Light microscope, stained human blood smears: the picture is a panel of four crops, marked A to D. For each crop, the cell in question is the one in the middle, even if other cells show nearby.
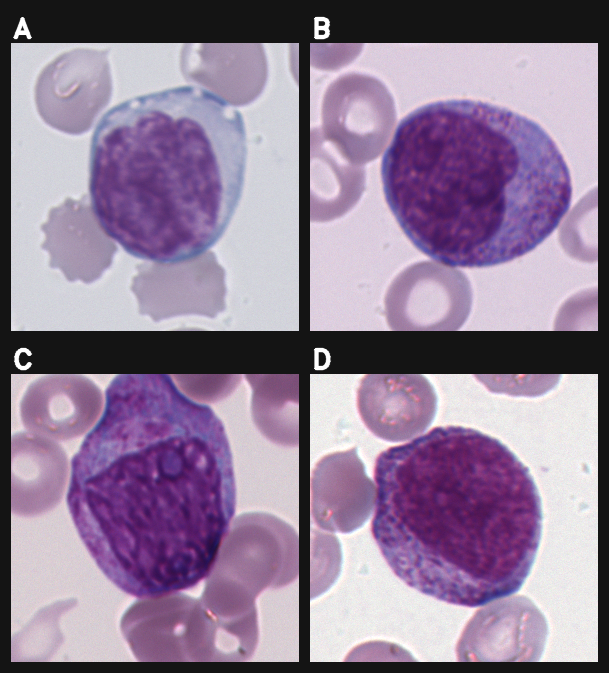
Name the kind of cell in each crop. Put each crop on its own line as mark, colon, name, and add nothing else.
A: myeloblast
B: promyelocyte
C: atypical promyelocyte
D: promyelocyte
